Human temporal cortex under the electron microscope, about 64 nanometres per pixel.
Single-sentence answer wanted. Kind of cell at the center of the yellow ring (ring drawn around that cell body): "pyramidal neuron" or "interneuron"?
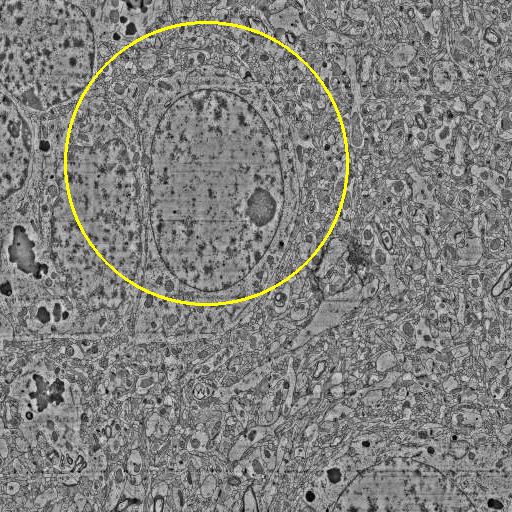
The cell centered in the ring is a pyramidal neuron.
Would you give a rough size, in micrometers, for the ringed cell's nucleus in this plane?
In this plane, roughly 13 by 9 micrometres.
